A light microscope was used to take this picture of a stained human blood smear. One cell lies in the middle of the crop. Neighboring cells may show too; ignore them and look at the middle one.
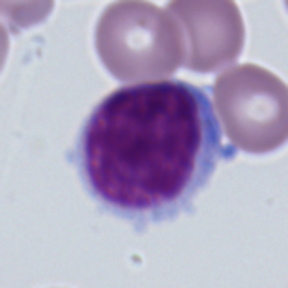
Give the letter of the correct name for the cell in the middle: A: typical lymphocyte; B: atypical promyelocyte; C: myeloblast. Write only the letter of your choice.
A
